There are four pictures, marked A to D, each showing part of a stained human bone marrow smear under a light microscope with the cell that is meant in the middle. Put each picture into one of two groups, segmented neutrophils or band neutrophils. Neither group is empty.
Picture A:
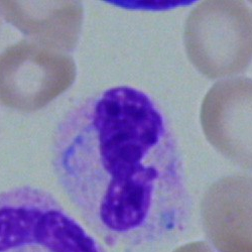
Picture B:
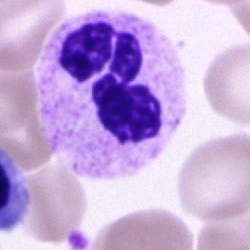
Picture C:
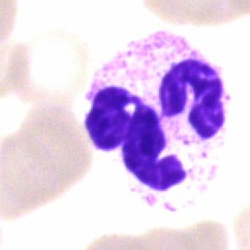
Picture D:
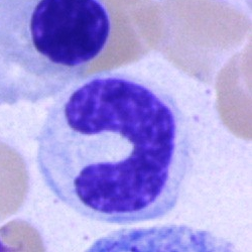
A: segmented neutrophil
B: segmented neutrophil
C: segmented neutrophil
D: band neutrophil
